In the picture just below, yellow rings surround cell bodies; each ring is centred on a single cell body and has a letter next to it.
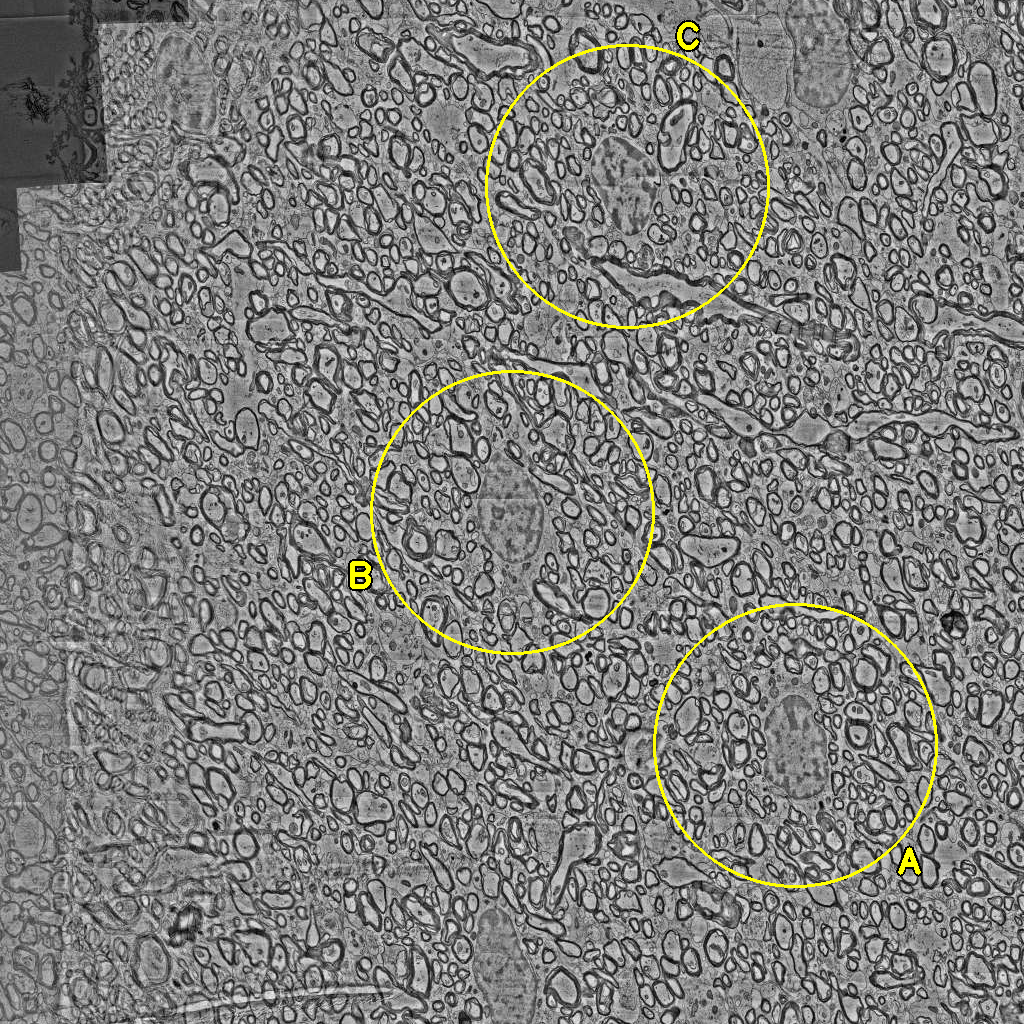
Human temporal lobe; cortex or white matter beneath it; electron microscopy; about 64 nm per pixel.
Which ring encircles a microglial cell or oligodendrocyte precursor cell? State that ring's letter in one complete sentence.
The letter C marks the ring centred on the cell asked for in the picture.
